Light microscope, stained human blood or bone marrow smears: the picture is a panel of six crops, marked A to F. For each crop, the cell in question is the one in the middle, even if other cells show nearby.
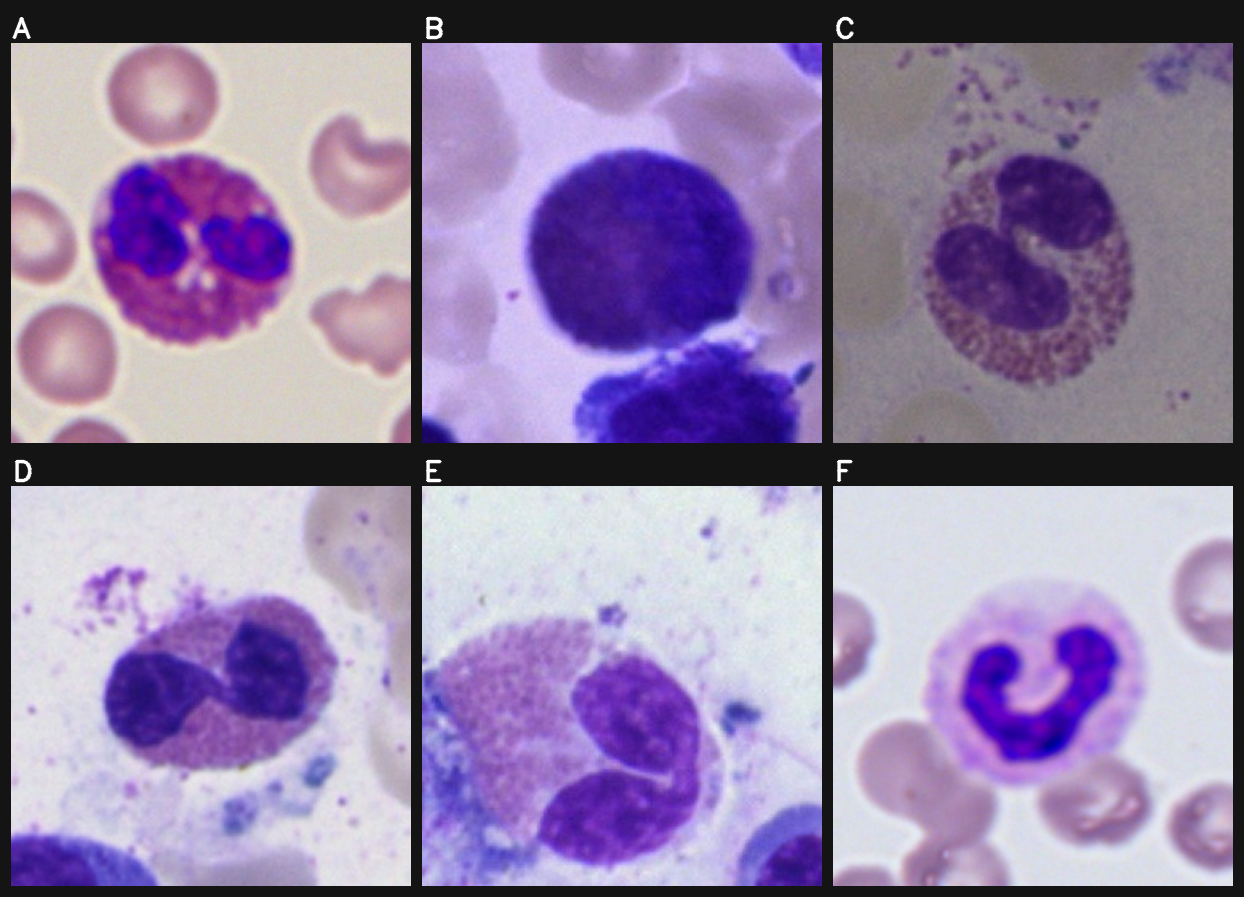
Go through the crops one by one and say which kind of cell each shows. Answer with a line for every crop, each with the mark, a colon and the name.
A: eosinophil
B: eosinophil
C: eosinophil
D: eosinophil
E: eosinophil
F: band neutrophil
